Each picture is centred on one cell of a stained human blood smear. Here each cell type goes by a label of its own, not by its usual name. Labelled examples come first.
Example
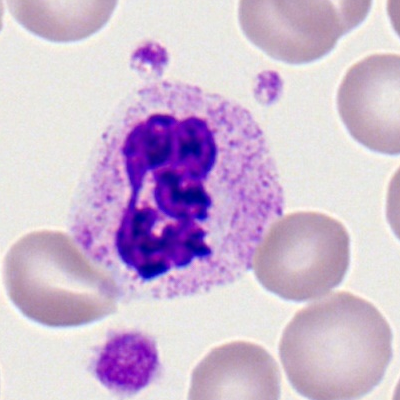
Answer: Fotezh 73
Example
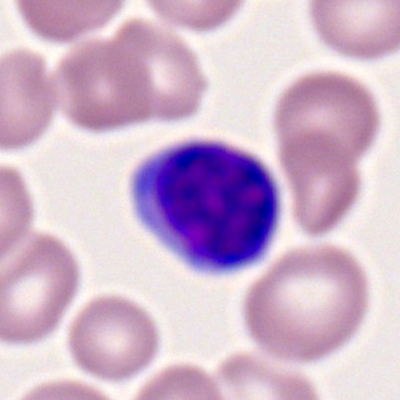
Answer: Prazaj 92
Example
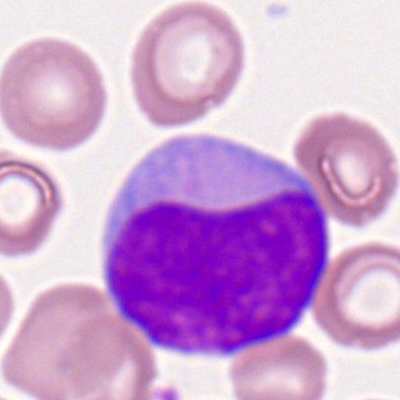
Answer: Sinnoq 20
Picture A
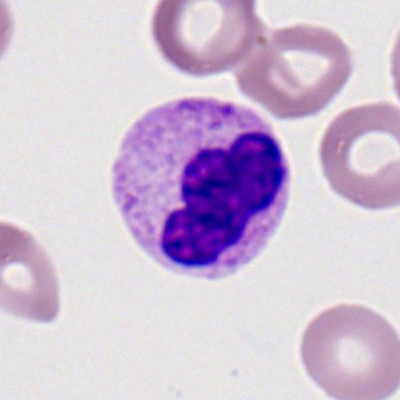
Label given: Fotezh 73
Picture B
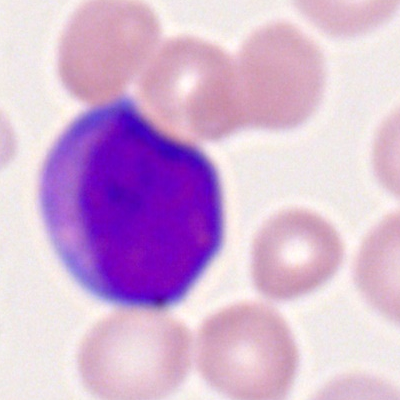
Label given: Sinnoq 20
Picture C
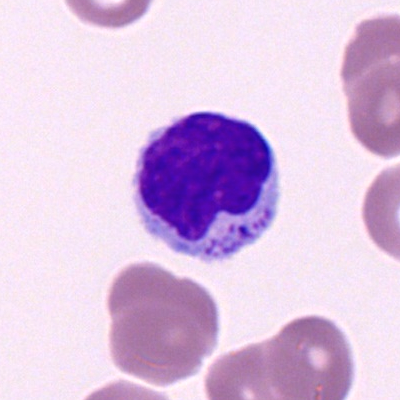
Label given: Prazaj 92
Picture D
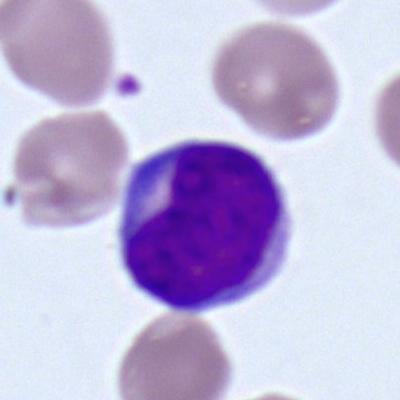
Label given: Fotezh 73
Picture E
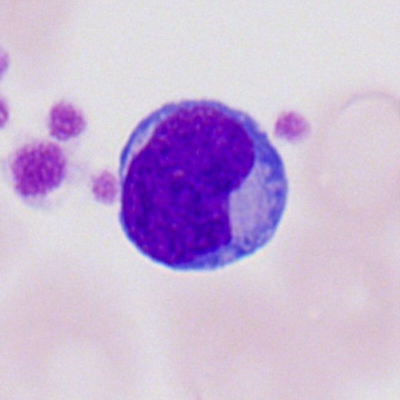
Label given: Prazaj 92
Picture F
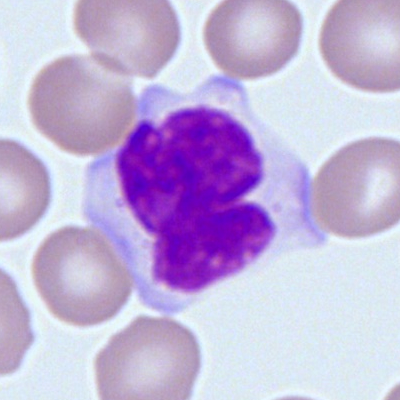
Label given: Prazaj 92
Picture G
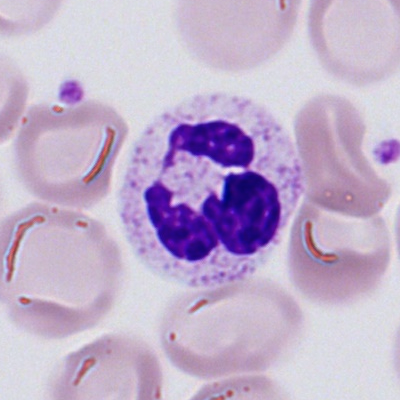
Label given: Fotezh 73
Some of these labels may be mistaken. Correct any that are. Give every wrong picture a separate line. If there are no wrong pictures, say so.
Wrong: D (Fotezh 73); correct: Sinnoq 20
